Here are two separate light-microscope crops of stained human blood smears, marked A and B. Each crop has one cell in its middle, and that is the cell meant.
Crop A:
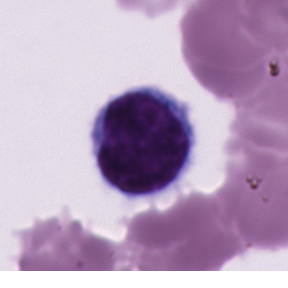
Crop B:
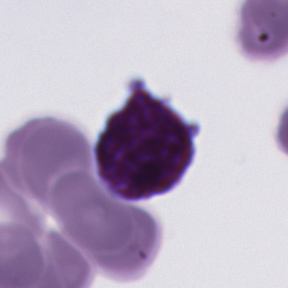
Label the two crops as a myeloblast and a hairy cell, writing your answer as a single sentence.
Identification: crop A is a hairy cell; crop B is a myeloblast.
